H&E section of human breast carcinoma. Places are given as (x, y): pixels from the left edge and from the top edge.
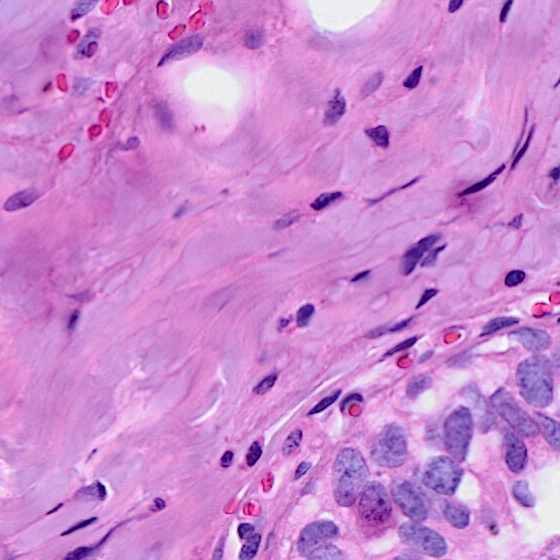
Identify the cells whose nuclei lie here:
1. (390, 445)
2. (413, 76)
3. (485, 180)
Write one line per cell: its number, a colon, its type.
1: carcinoma cell
2: fibroblast
3: fibroblast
